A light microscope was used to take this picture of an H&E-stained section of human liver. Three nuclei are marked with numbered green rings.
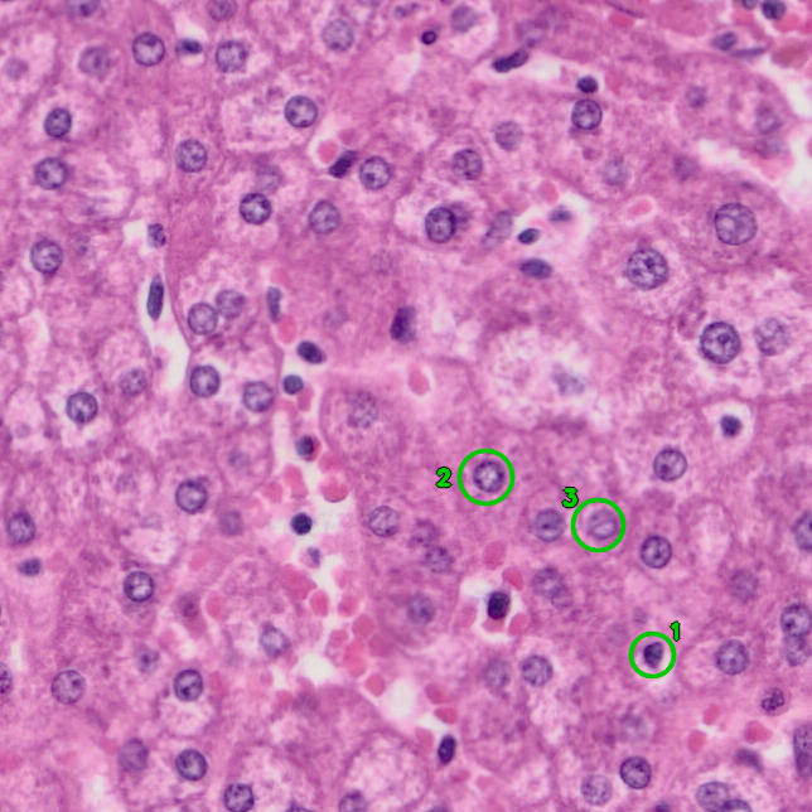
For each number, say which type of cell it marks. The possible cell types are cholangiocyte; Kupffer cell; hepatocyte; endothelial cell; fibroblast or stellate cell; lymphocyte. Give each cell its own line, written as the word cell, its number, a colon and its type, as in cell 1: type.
cell 1: lymphocyte
cell 2: hepatocyte
cell 3: hepatocyte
